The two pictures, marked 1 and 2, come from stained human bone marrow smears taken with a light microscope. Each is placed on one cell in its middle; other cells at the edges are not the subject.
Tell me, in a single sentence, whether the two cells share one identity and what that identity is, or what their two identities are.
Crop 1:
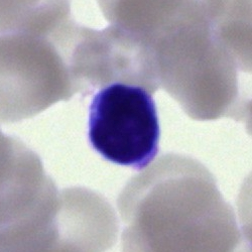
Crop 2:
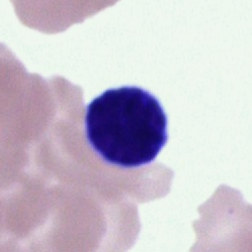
Yes, the reply for both crops is lymphocytes.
